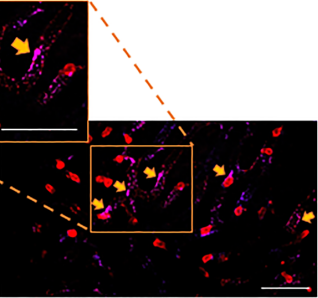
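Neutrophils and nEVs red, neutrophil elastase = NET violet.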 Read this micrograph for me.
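Fine red dots and small red fragments are strewn between the cells along the channels. Violet, irregular strand- and patch-like deposits lie along the same channels. Where violet and red material overlap the deposits appear pink, and several such places are marked by yellow arrows.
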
